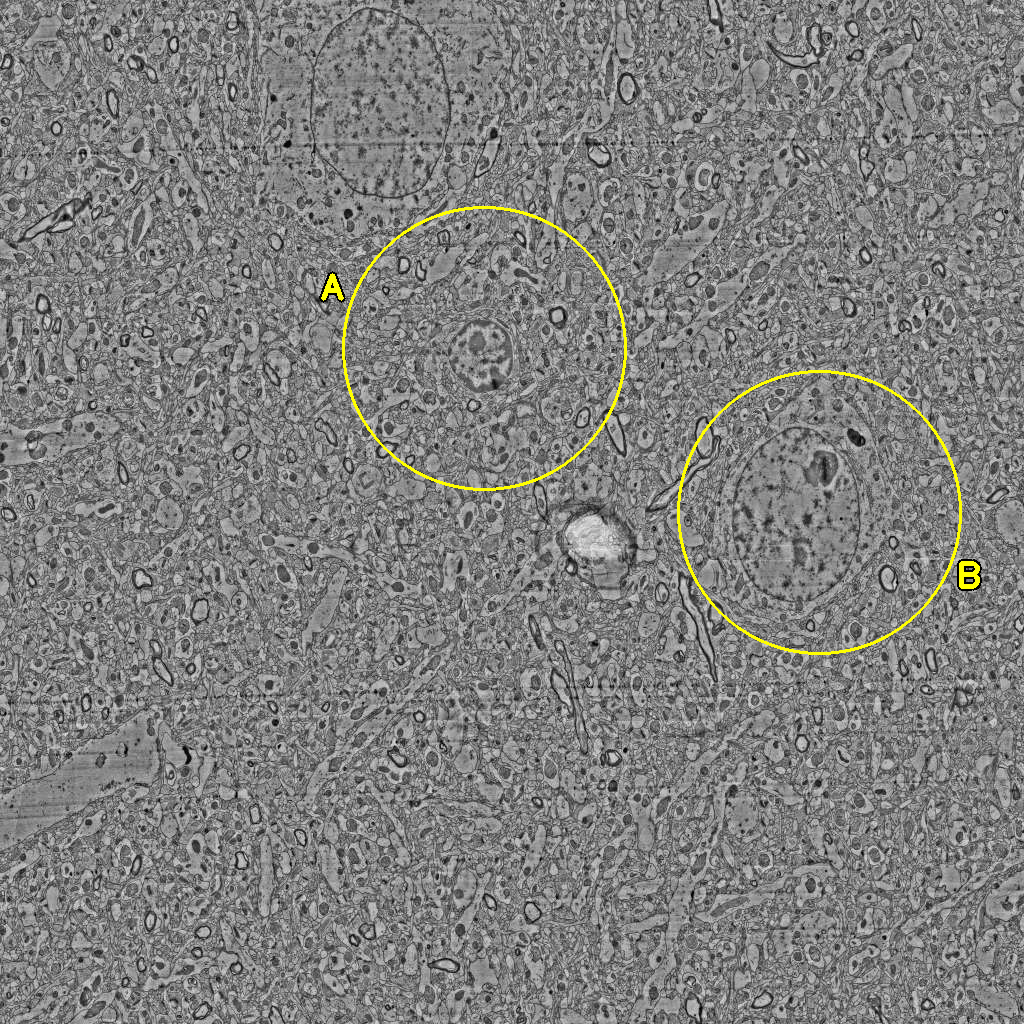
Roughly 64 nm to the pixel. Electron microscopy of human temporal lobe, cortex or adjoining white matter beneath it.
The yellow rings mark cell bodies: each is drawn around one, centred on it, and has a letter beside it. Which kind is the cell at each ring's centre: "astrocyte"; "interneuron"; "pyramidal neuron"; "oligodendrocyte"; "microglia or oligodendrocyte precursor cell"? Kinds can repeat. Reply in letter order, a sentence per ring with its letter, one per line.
At the centre of ring A lies a microglial cell or oligodendrocyte precursor cell.
At the centre of ring B lies a pyramidal neuron.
